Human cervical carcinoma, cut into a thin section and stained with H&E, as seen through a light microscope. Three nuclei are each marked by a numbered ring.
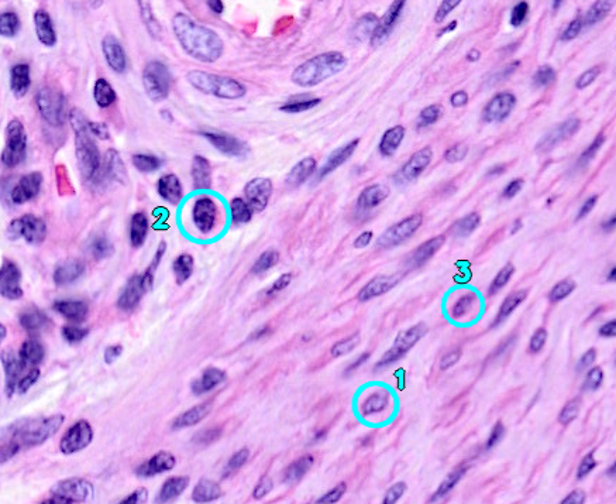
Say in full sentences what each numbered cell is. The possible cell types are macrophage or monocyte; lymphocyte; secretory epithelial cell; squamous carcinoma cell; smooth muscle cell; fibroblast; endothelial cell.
Cell 1 is a smooth muscle cell, cell 2 is a lymphocyte and cell 3 is a smooth muscle cell.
